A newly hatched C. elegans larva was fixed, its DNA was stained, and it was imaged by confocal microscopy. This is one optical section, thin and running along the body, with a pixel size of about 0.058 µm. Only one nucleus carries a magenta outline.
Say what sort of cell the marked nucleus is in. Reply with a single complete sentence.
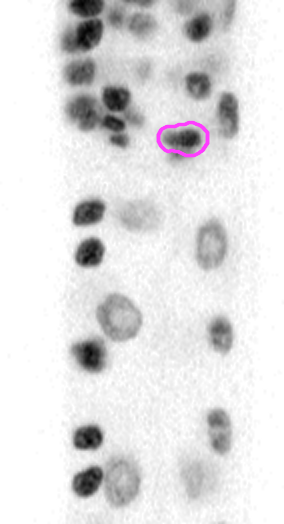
This is the nucleus of a valve cell of the gut.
